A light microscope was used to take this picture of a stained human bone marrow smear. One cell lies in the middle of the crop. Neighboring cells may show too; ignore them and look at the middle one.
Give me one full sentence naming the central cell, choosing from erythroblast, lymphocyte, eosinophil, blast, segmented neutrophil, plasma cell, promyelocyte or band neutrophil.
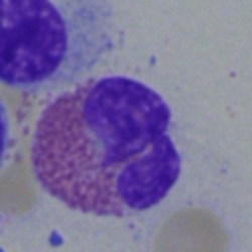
Here the cell in the middle is an eosinophil.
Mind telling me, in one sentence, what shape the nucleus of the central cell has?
We find a nucleus divided into at least two lobes.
